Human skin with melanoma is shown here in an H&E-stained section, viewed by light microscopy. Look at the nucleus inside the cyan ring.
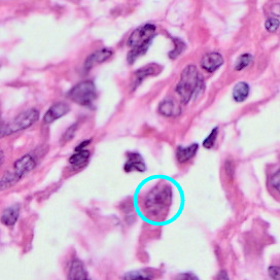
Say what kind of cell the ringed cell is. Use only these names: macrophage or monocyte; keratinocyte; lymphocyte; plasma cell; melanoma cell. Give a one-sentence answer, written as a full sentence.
In this tissue sample, the ringed cell is a melanoma cell.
